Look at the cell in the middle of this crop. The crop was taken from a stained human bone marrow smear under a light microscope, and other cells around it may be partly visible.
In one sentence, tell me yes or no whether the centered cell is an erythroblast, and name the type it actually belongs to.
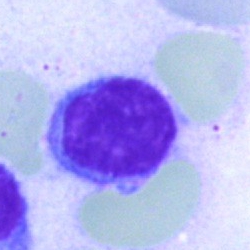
No, looking at the central cell, it is a lymphocyte rather than an erythroblast.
